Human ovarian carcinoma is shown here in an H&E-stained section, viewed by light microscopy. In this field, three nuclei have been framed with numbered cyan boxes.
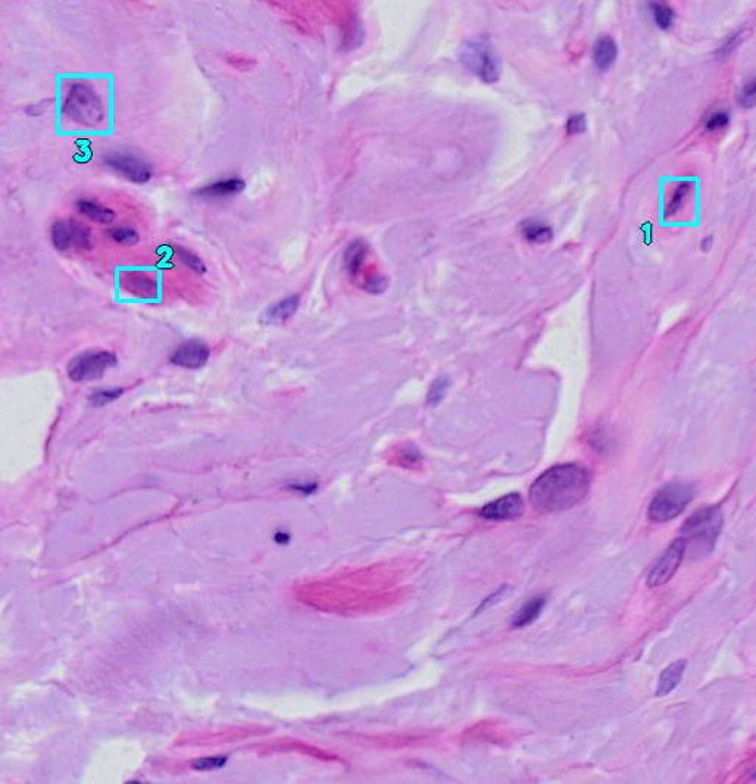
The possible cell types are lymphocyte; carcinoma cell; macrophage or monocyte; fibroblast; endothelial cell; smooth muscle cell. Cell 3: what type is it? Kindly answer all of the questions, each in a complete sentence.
The cell whose nucleus carries the number 3 is a fibroblast.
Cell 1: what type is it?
The cell bearing label 1 corresponds to an endothelial cell.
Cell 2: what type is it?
The cell to which the number 2 is assigned is a smooth muscle cell.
